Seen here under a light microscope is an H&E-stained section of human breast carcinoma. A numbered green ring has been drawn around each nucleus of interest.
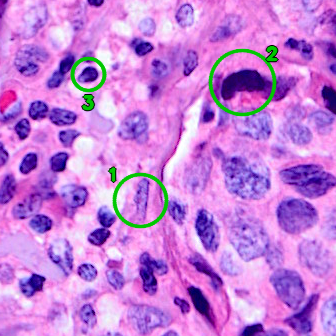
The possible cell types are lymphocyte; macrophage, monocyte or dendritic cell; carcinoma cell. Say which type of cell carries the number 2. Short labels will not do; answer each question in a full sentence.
Corresponding to a carcinoma cell is the cell labelled 2.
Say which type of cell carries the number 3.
The nucleus labeled 3 belongs to a lymphocyte.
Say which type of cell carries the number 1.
Recognised here as a macrophage, monocyte or dendritic cell is the cell numbered 1.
